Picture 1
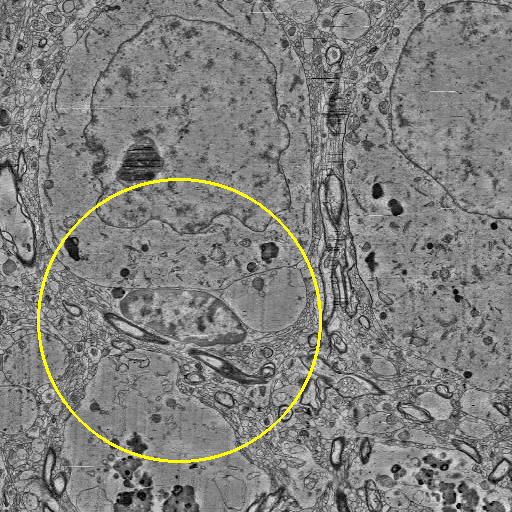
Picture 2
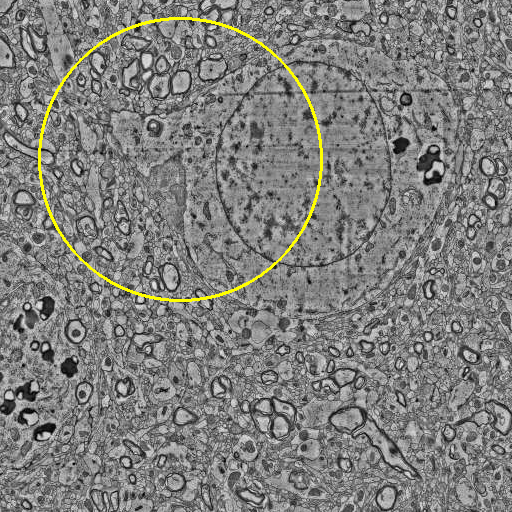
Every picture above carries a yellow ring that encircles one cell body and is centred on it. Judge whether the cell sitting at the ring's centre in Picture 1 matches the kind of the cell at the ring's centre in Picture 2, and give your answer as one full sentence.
No, the cells centred in the rings of Pictures 1 and 2 belong to two kinds.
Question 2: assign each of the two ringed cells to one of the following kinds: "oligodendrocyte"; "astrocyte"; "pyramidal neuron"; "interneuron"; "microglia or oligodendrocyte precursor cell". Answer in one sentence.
The two cells are a microglial cell or oligodendrocyte precursor cell in the first picture and an oligodendrocyte in the second.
